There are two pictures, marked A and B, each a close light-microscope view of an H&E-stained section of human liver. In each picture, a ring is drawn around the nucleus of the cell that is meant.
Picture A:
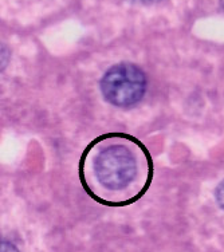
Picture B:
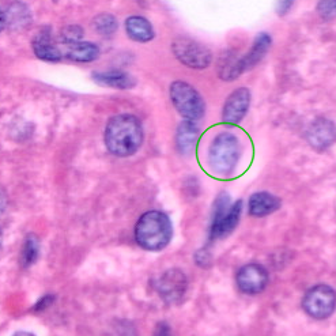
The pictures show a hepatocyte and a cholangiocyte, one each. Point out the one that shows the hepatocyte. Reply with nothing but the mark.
A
